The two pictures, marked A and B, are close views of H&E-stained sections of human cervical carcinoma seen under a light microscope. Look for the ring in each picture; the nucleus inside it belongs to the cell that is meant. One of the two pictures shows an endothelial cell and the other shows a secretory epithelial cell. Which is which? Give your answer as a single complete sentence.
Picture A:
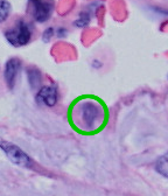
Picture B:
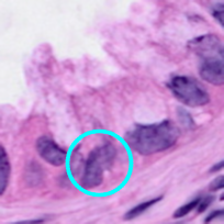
Picture A is of an endothelial cell, and picture B is of a secretory epithelial cell.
